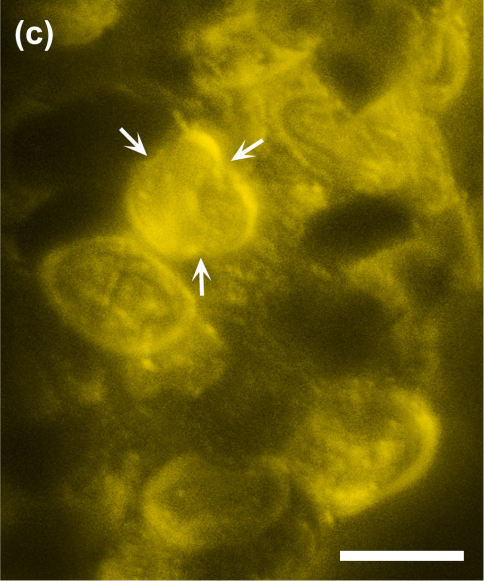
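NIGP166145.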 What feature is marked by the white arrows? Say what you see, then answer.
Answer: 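A rounded grain is seen from one pole, with its outline indented at three evenly spaced points. The three arrows point at these three indentations in the grain wall.
Answer: three colpi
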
